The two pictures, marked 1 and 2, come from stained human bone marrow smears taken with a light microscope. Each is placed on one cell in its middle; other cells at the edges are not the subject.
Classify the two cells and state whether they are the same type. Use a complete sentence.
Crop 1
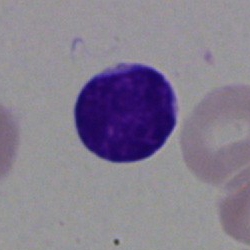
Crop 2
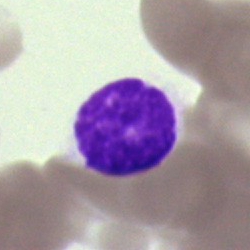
No, a blast lies at the centre of crop 1, and a lymphocyte lies at the centre of crop 2.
